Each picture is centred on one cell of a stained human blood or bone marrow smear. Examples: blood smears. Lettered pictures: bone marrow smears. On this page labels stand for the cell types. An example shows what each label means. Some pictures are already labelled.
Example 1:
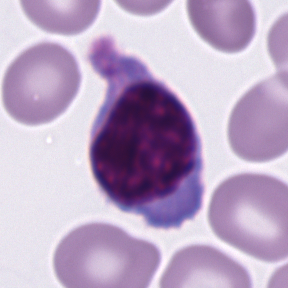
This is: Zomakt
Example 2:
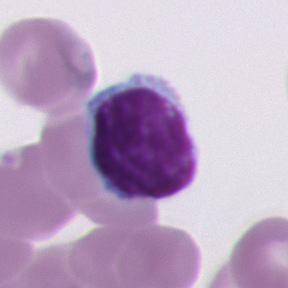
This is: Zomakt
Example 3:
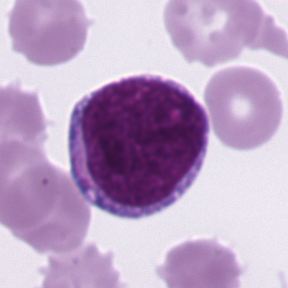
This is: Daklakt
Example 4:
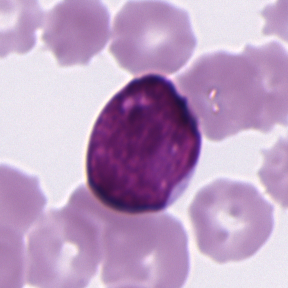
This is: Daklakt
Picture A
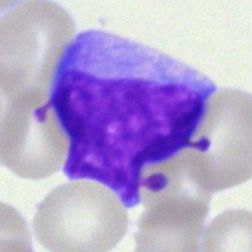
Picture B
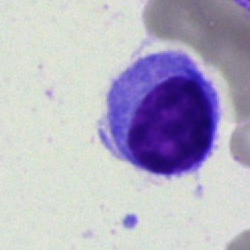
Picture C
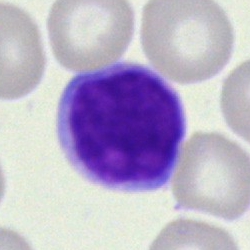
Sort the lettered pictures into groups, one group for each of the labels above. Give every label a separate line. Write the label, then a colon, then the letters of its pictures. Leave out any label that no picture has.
Zomakt: B, C
Daklakt: A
